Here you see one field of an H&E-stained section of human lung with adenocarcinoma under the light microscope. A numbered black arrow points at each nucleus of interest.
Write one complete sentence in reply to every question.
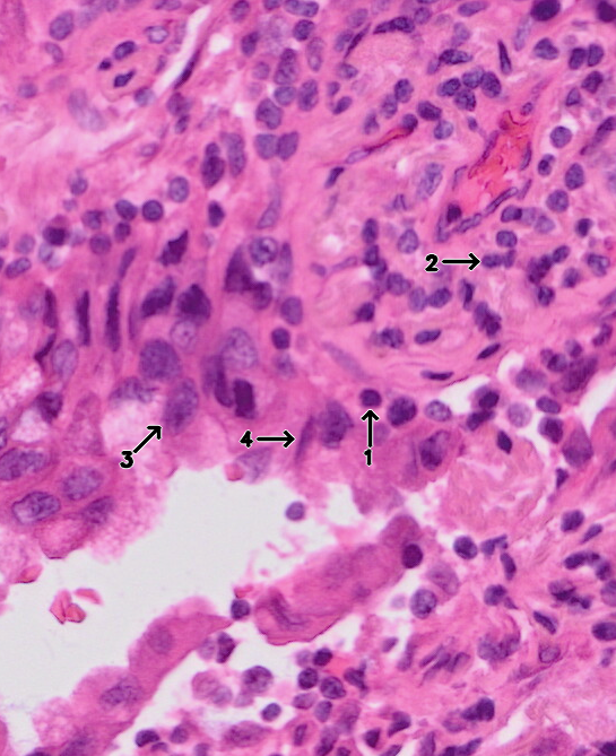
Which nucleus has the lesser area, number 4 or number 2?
Number 2 is smaller, since number 4 takes up about 2 times as much area.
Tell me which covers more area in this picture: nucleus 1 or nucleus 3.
Nucleus 3 covers more area, about 4 times as much as nucleus 1.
